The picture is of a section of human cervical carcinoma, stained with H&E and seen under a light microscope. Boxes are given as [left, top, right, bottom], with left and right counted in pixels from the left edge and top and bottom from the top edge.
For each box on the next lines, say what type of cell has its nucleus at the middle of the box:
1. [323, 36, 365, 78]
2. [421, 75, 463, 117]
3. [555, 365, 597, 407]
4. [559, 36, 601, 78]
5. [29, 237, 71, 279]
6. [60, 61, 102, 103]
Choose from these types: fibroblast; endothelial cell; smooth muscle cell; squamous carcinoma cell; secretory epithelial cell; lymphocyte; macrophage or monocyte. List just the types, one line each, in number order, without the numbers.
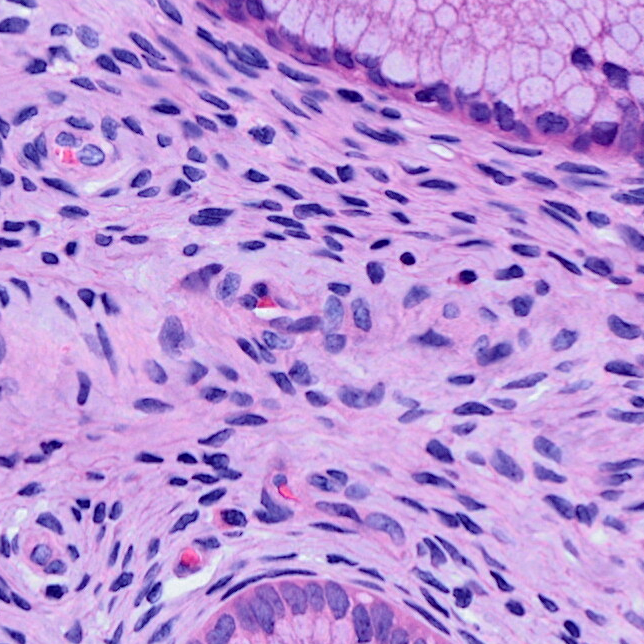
secretory epithelial cell
secretory epithelial cell
fibroblast
secretory epithelial cell
fibroblast
fibroblast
